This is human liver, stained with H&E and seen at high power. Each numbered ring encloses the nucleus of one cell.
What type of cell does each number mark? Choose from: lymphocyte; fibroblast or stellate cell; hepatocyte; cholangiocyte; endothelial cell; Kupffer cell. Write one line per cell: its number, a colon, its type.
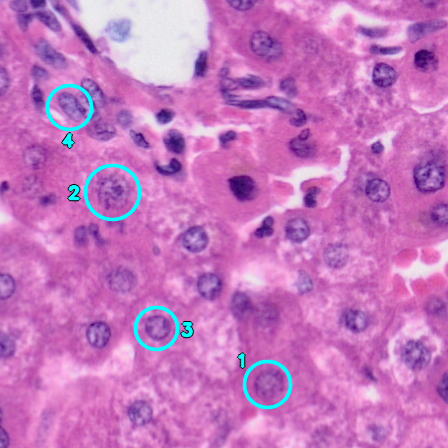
1: hepatocyte
2: hepatocyte
3: hepatocyte
4: cholangiocyte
